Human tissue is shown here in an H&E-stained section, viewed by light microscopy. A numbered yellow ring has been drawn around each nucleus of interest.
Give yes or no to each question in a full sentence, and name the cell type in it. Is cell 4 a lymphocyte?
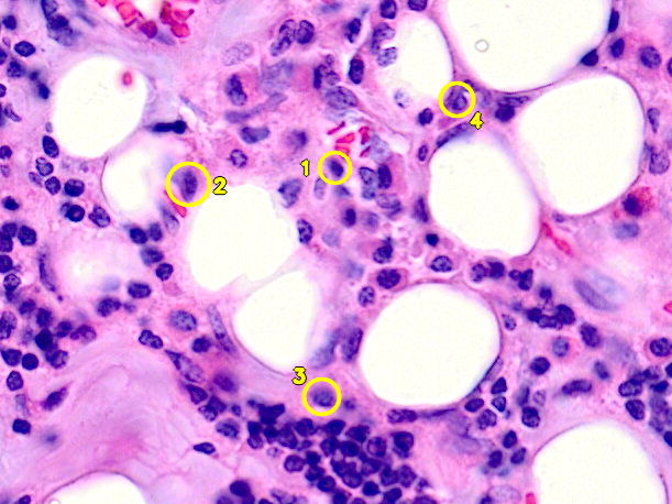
No, cell number 4 is identified as an endothelial cell, not as a lymphocyte.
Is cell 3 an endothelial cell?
No, sorry, the cell labelled 3 is not an endothelial cell; it is a mast cell.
